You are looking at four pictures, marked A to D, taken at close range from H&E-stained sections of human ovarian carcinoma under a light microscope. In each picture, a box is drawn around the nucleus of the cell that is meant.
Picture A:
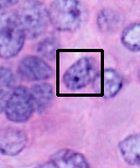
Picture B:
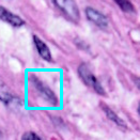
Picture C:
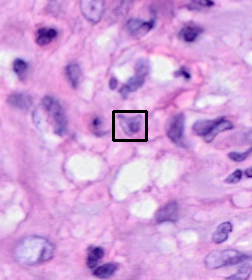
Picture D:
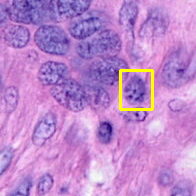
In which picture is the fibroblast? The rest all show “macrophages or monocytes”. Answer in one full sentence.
It is picture B that shows the fibroblast.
